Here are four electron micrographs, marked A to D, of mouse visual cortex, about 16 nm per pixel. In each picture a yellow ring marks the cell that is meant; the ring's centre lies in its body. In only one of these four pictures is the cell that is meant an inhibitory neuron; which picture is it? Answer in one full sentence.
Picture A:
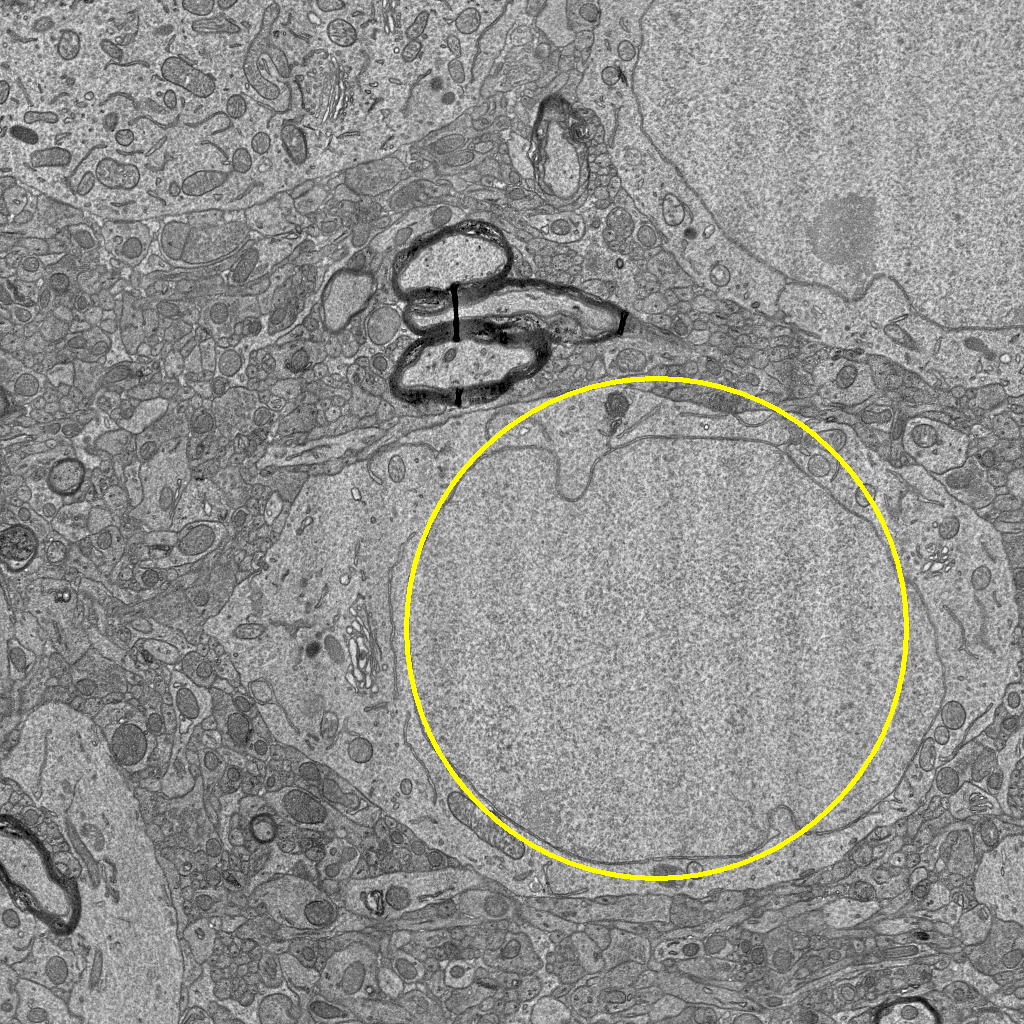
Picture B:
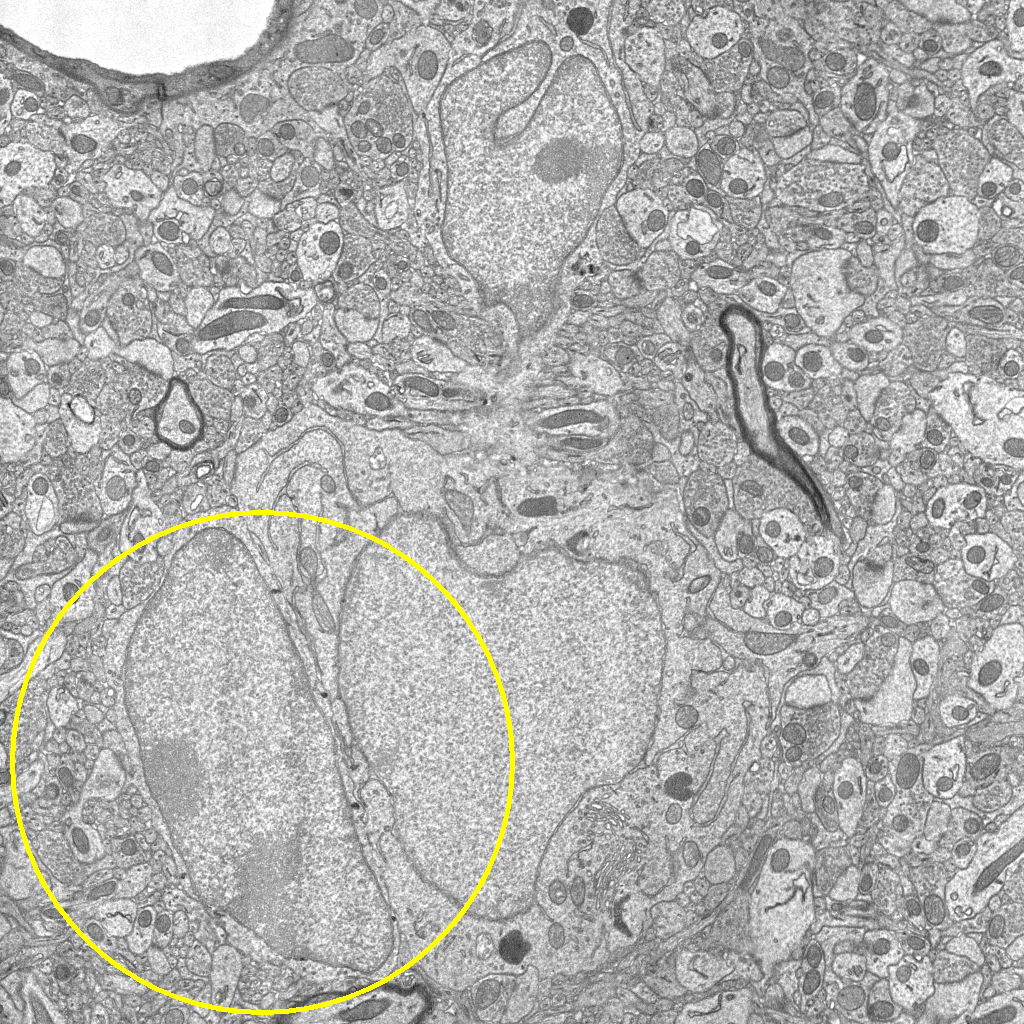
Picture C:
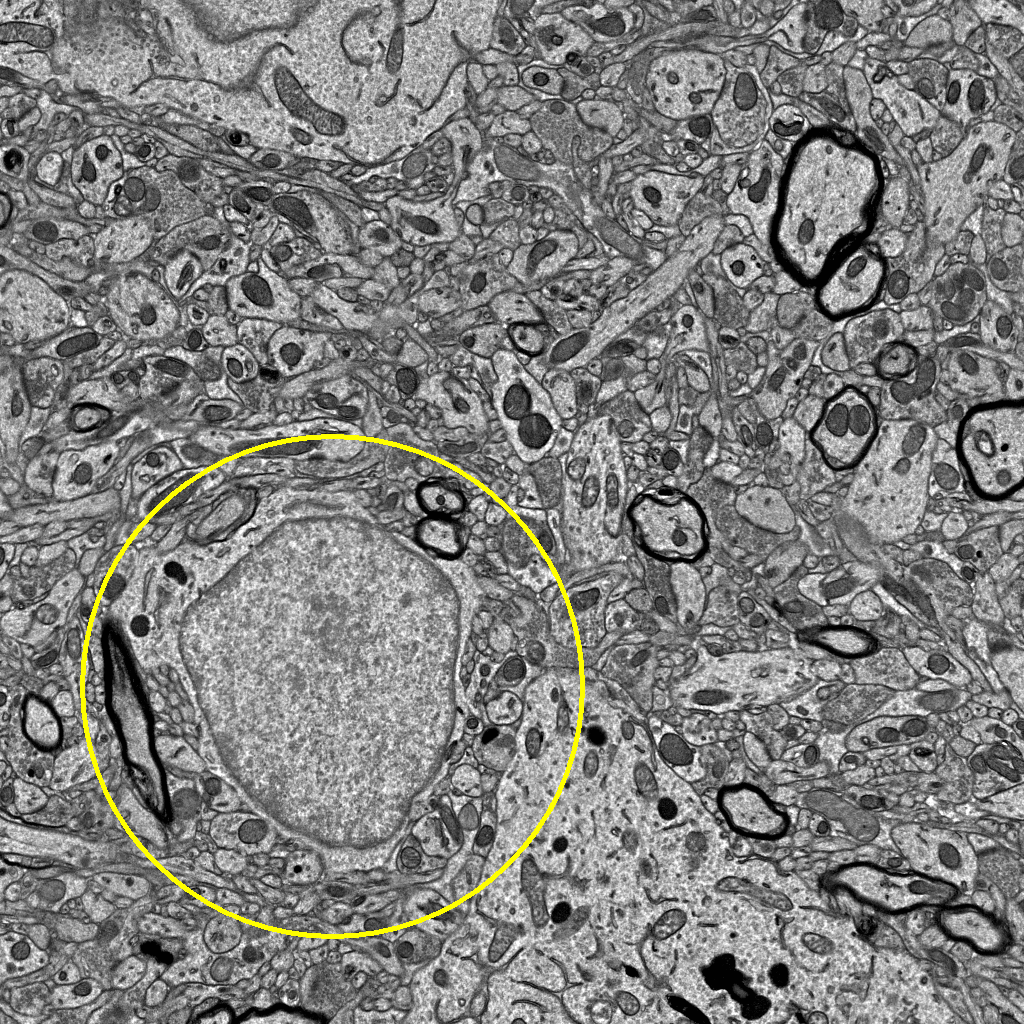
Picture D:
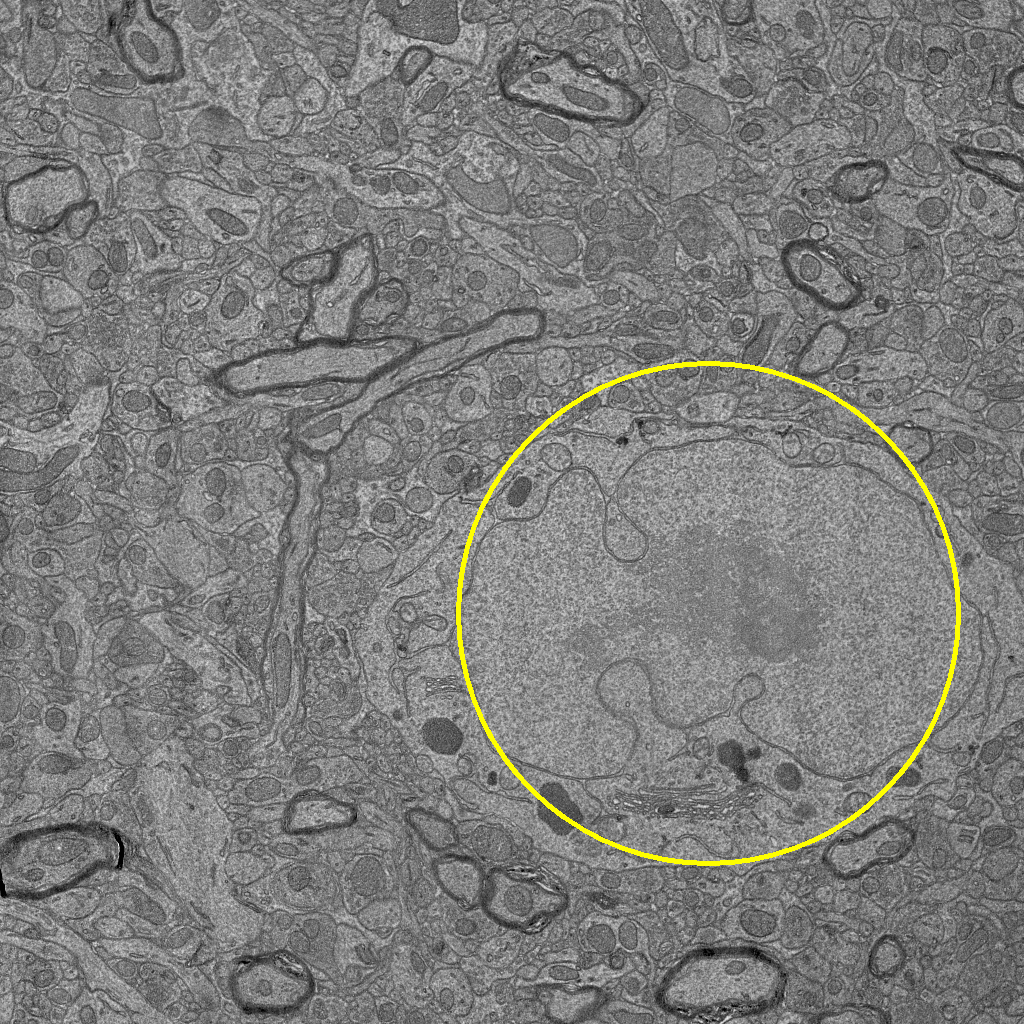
The picture with the inhibitory neuron is D.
